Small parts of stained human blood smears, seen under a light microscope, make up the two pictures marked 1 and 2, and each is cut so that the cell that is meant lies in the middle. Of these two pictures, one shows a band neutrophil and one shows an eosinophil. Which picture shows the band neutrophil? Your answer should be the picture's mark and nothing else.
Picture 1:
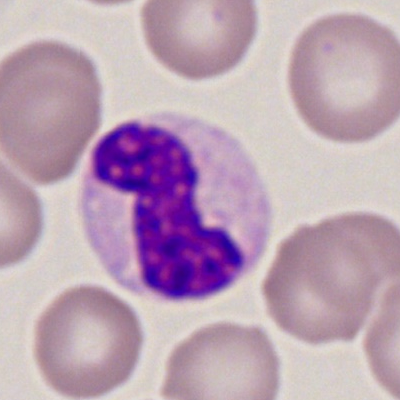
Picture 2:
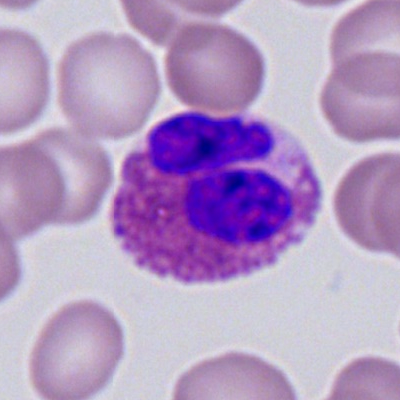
1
